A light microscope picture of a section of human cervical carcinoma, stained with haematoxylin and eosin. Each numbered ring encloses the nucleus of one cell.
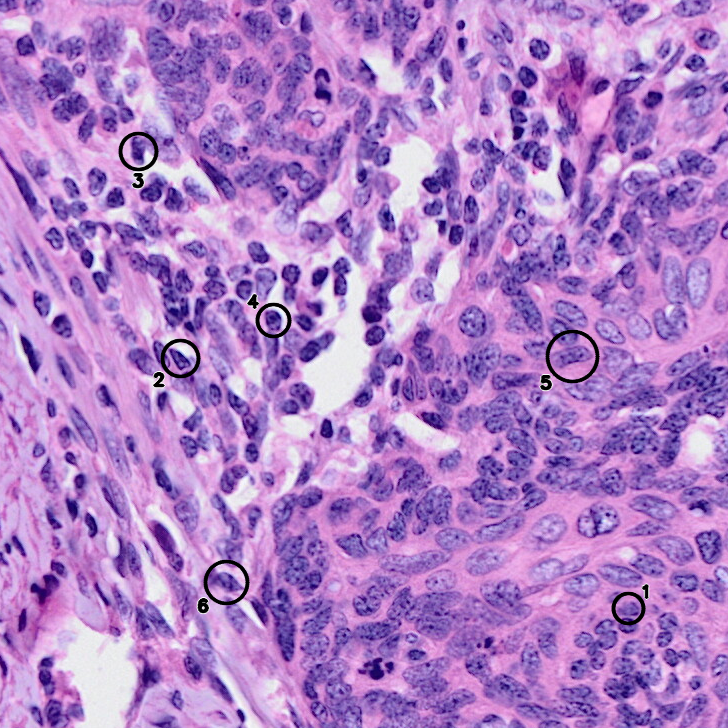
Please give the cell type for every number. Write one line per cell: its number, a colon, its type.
1: squamous carcinoma cell
2: lymphocyte
3: lymphocyte
4: lymphocyte
5: squamous carcinoma cell
6: lymphocyte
